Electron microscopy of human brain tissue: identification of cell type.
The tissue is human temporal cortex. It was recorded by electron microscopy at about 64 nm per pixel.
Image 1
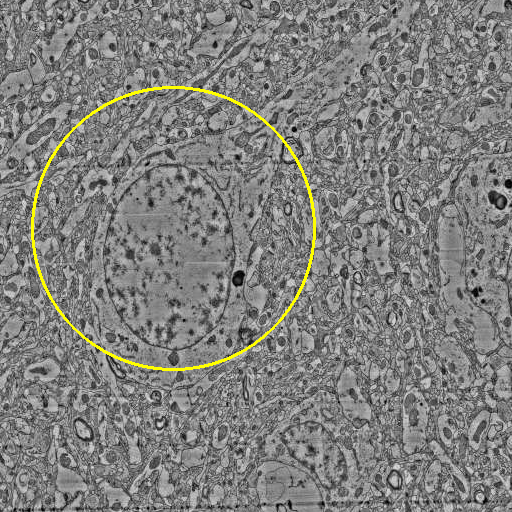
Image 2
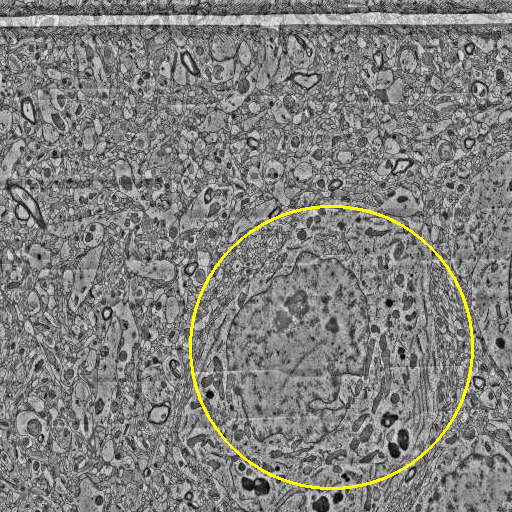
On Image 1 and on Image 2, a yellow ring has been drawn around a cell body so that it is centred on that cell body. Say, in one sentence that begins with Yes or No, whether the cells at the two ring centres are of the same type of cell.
No, the two cells are two separate types of cell.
